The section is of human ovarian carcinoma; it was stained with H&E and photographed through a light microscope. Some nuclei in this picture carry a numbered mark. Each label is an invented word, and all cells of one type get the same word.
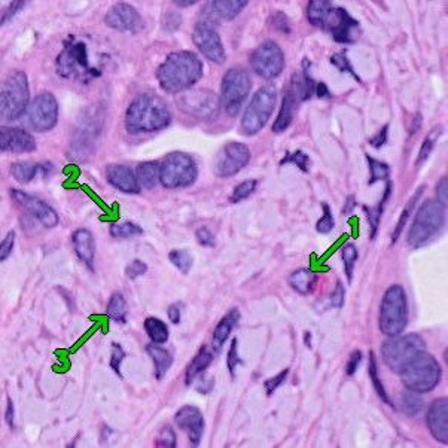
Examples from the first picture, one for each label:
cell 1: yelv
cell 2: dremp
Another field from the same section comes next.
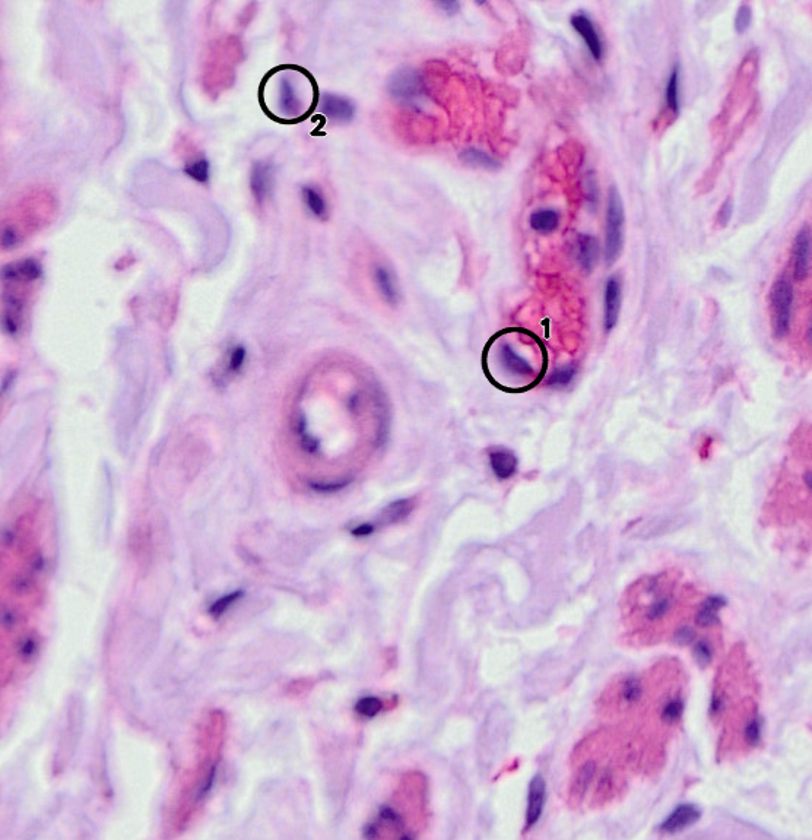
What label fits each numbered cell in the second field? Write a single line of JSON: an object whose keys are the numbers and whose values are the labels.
{"1": "yelv", "2": "dremp"}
